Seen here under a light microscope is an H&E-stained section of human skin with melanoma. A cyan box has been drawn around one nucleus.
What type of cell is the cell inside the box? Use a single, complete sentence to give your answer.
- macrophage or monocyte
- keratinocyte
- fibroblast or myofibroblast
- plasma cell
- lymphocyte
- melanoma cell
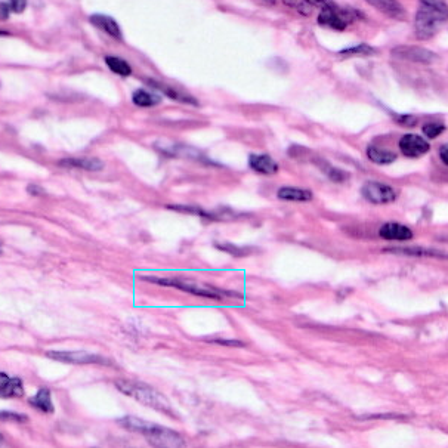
In the stained section, the cell inside the box is a fibroblast or myofibroblast.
